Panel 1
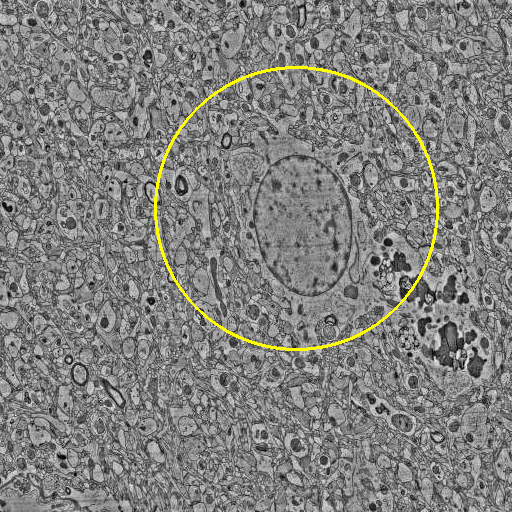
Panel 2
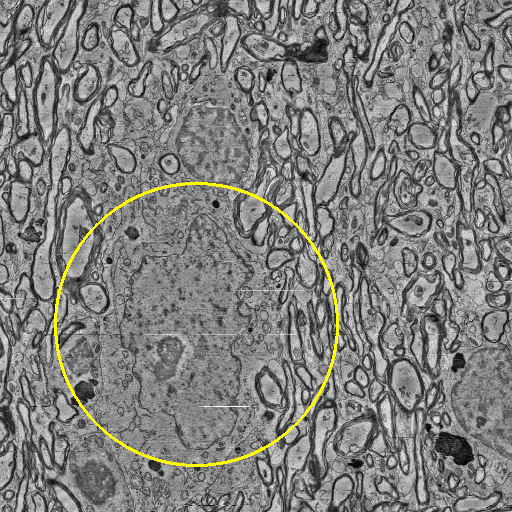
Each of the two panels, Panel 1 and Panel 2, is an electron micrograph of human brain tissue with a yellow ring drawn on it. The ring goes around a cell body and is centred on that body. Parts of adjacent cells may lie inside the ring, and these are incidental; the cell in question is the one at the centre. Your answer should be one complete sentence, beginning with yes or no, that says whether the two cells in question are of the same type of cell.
No, the two cells are of two types.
